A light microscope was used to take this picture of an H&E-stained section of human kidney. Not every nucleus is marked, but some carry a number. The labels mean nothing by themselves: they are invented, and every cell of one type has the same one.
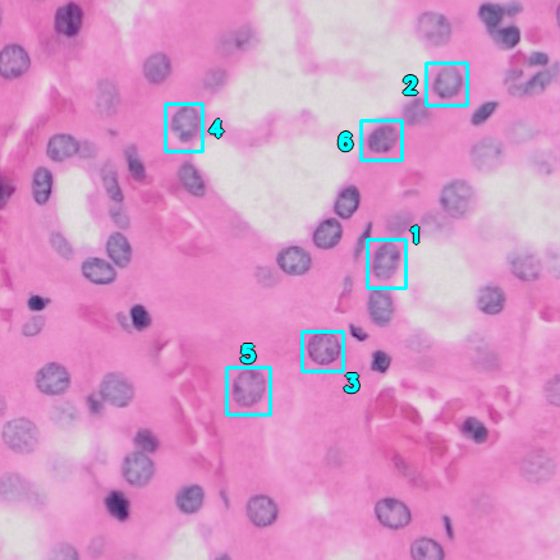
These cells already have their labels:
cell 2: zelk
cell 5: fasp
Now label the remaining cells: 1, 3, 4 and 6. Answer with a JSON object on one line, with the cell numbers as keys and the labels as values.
{"1": "zelk", "3": "fasp", "4": "zelk", "6": "zelk"}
